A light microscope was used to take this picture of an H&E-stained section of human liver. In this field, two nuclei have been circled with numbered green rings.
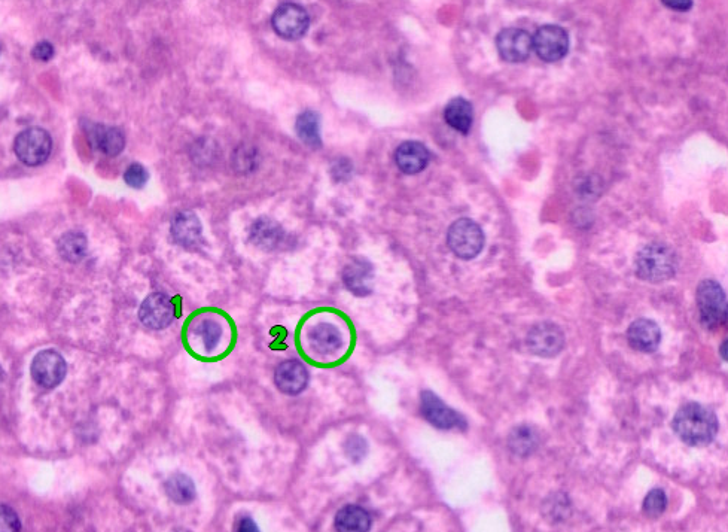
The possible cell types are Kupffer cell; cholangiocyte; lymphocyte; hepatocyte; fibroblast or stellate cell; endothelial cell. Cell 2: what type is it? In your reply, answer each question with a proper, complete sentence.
Among the marked cells, number 2 is a hepatocyte.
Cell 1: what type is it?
The cell pointed out by number 1 is an endothelial cell.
